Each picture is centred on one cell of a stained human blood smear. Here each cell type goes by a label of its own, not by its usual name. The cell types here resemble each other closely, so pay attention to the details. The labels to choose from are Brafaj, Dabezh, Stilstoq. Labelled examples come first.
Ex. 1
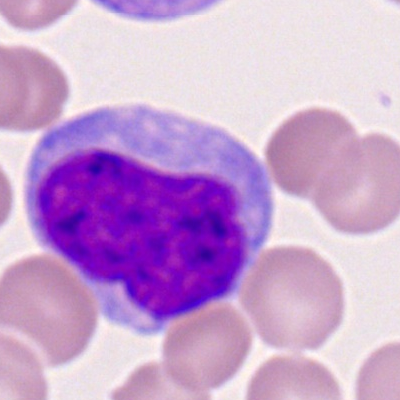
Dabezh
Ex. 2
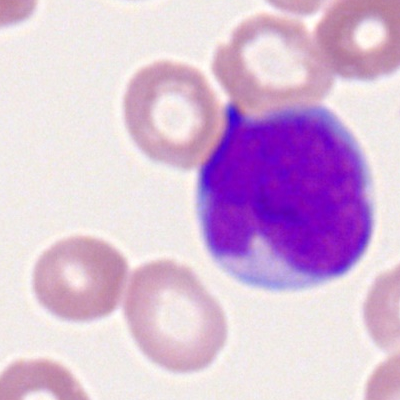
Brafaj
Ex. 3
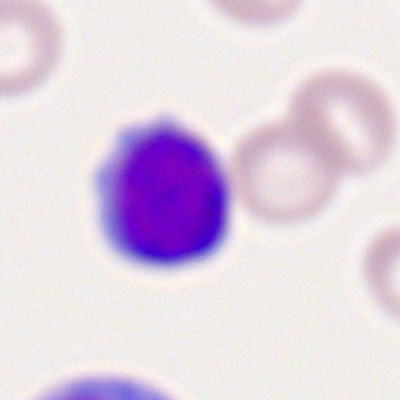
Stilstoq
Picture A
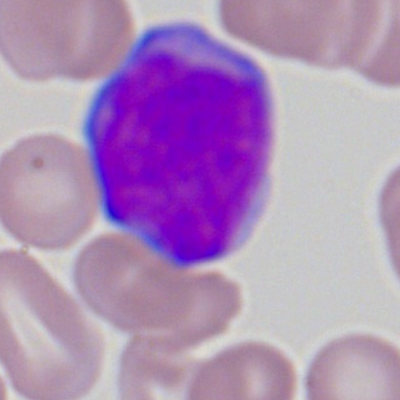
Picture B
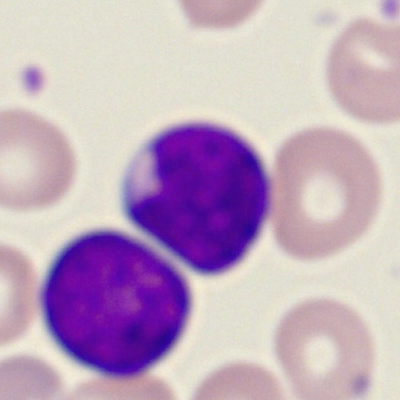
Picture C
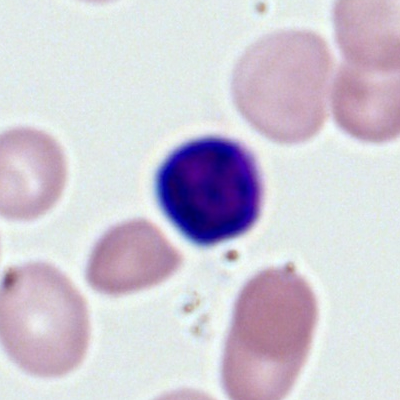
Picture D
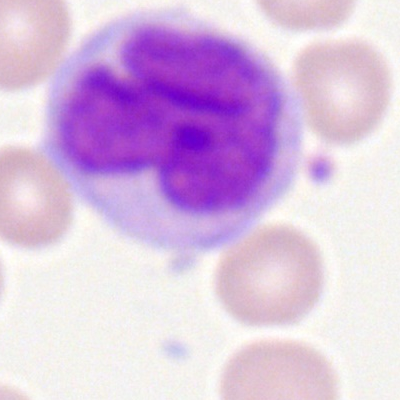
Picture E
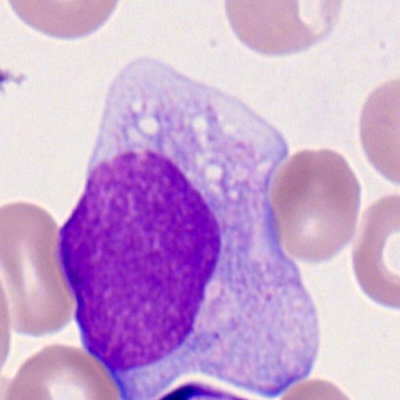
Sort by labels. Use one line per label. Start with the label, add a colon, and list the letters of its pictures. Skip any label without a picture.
Brafaj: A, B
Dabezh: D, E
Stilstoq: C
